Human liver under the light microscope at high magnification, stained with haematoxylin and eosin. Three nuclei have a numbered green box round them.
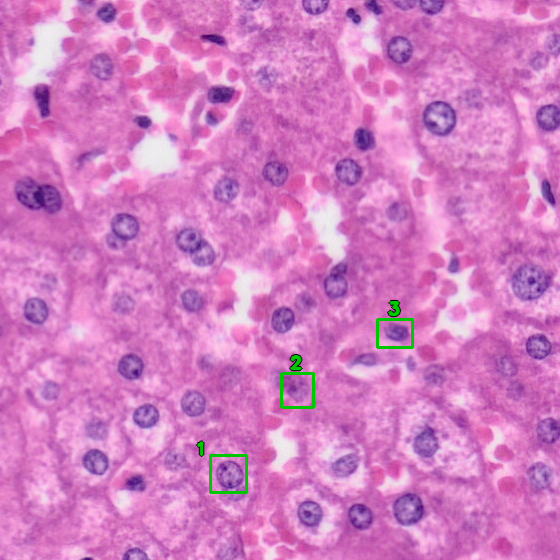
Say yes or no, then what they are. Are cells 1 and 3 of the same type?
No, cell 1 is interpreted as a hepatocyte, and cell 3 is interpreted as a fibroblast or stellate cell.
